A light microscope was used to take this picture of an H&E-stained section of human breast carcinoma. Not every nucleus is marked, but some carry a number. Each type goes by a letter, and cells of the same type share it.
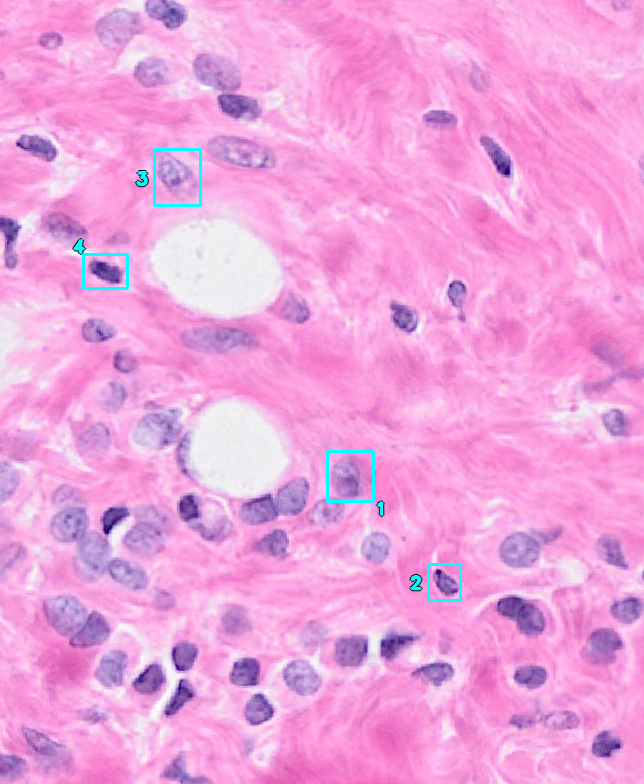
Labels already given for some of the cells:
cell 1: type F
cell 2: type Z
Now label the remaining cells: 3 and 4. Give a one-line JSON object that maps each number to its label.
{"3": "type F", "4": "type Z"}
